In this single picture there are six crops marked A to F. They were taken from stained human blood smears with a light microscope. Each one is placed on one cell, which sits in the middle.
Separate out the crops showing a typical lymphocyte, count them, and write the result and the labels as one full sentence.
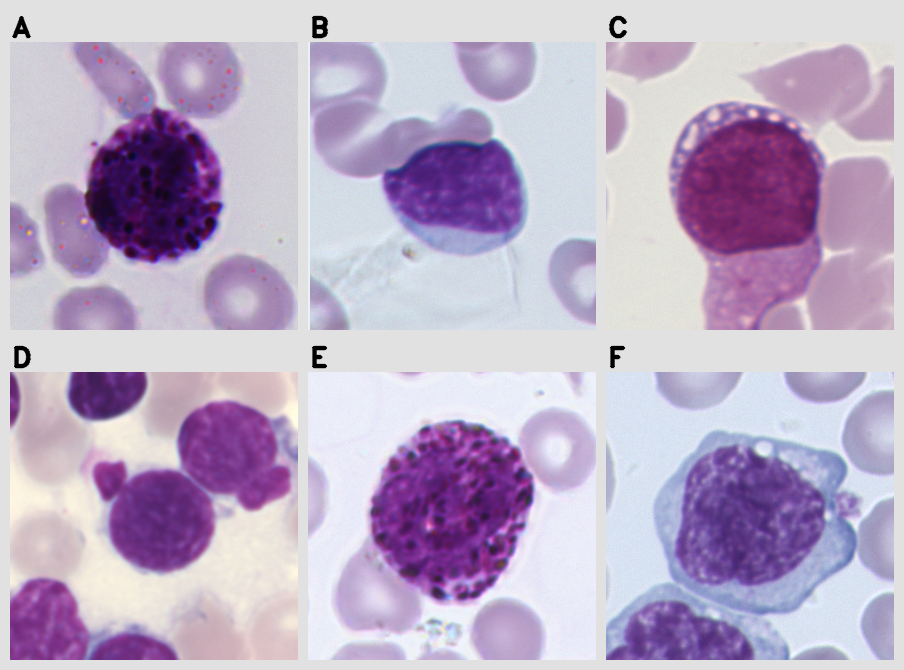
Exactly one of these crops, crop B, has a typical lymphocyte in the middle.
